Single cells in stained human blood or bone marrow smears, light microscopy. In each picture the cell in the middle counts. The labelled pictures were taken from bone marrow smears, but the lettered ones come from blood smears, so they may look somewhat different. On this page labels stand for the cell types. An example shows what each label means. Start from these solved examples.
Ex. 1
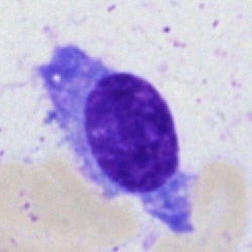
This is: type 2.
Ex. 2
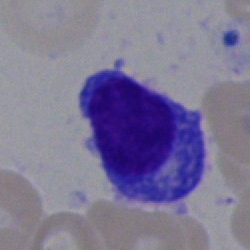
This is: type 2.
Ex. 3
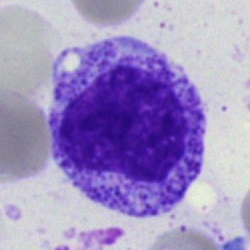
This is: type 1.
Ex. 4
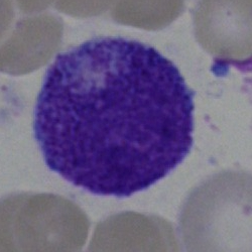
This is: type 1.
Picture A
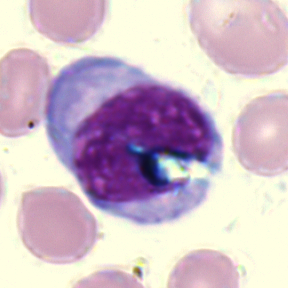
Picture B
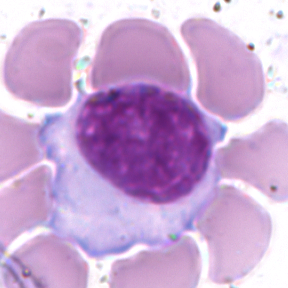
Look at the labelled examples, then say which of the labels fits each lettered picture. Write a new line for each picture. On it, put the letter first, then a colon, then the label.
A: type 2.
B: type 2.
